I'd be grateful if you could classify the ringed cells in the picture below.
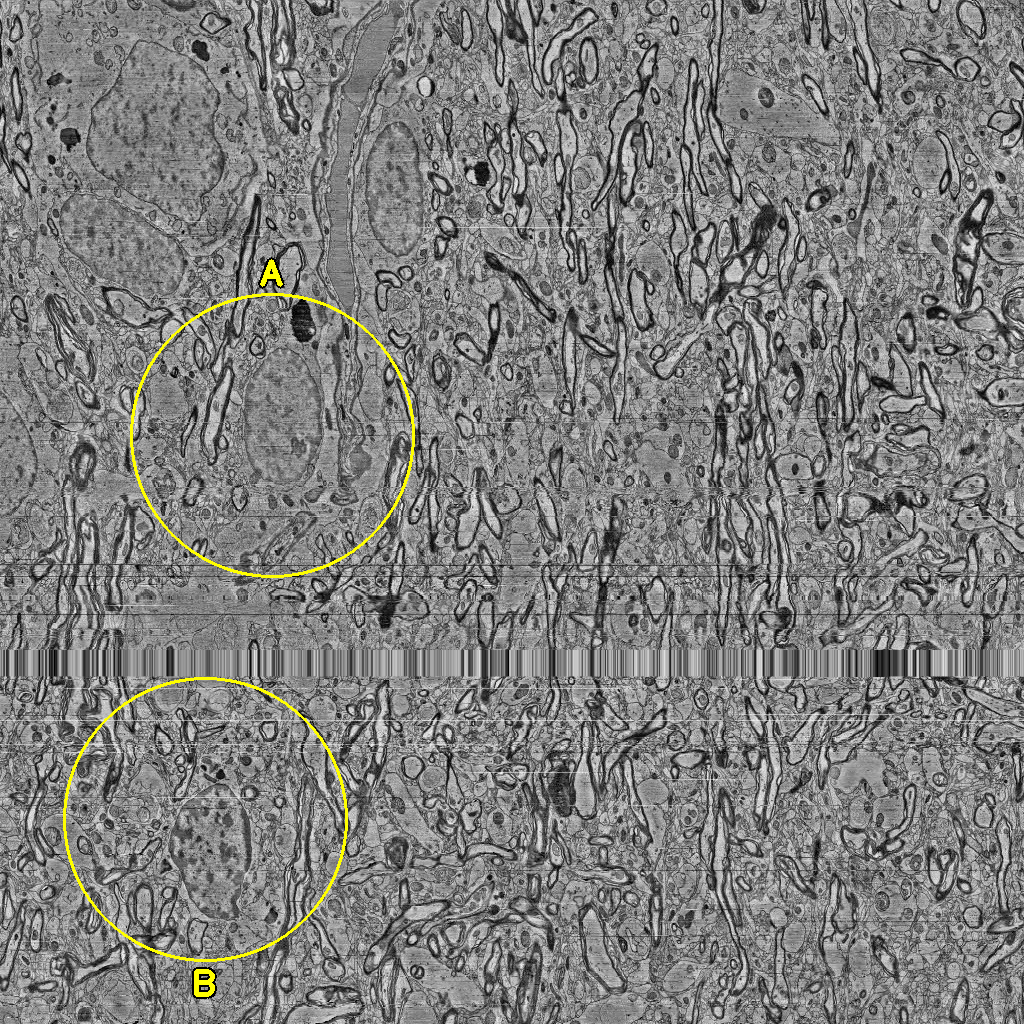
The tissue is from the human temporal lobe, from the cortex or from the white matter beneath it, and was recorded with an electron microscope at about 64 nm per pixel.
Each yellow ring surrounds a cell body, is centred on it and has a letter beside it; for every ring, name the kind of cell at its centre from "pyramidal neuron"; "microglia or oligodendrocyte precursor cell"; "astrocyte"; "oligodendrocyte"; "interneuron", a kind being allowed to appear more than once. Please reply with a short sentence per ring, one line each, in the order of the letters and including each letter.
In ring A we have an oligodendrocyte.
In ring B we have a microglial cell or oligodendrocyte precursor cell.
